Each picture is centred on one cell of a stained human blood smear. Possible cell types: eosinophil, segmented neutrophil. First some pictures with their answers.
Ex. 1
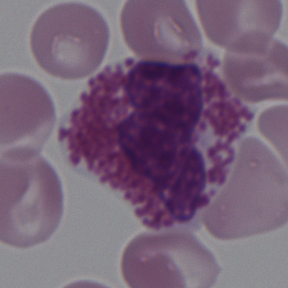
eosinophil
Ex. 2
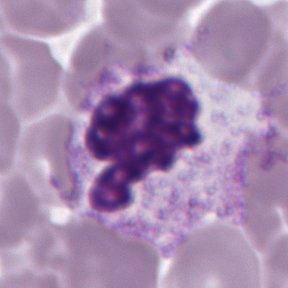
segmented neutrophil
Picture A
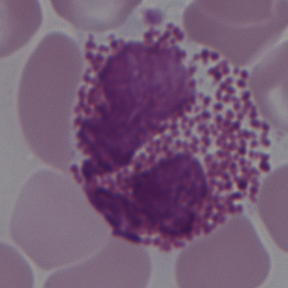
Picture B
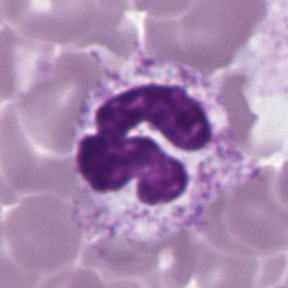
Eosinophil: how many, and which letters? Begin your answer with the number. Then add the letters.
1, namely A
